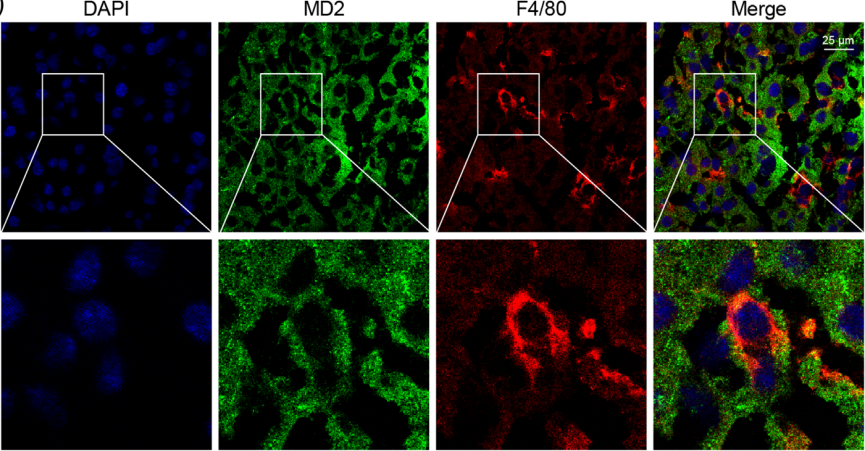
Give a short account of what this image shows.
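This liver tissue shows cords of large cells with round blue nuclei and green granular cytoplasm, separated by dark sinusoidal spaces. Scattered among them are a few smaller, irregular hepatic macrophages outlined in red, lying in the spaces between the cords. In the enlargement one such cell forms a red ring around a nucleus, with patches of yellow where red meets green at its edge.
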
